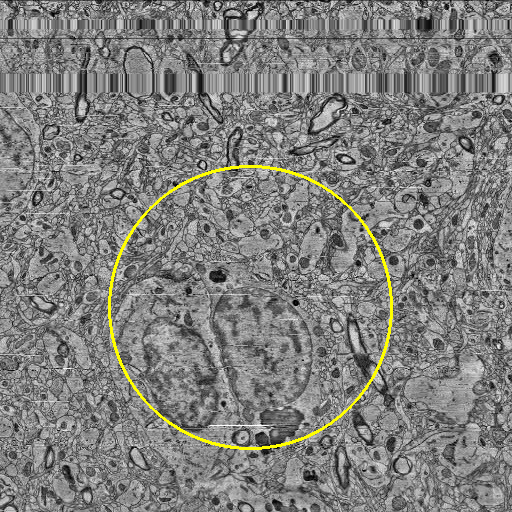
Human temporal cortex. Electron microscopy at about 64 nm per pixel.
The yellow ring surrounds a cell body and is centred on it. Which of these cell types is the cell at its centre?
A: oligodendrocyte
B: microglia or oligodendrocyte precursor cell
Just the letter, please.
A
